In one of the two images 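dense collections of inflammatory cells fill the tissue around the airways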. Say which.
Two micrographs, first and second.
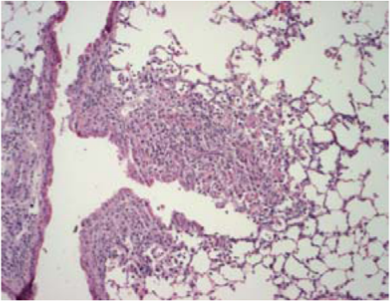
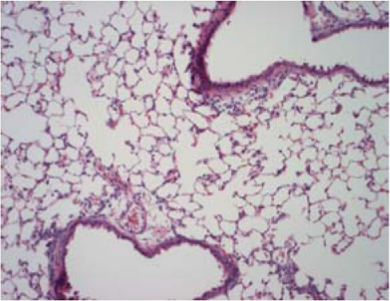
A: The first image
